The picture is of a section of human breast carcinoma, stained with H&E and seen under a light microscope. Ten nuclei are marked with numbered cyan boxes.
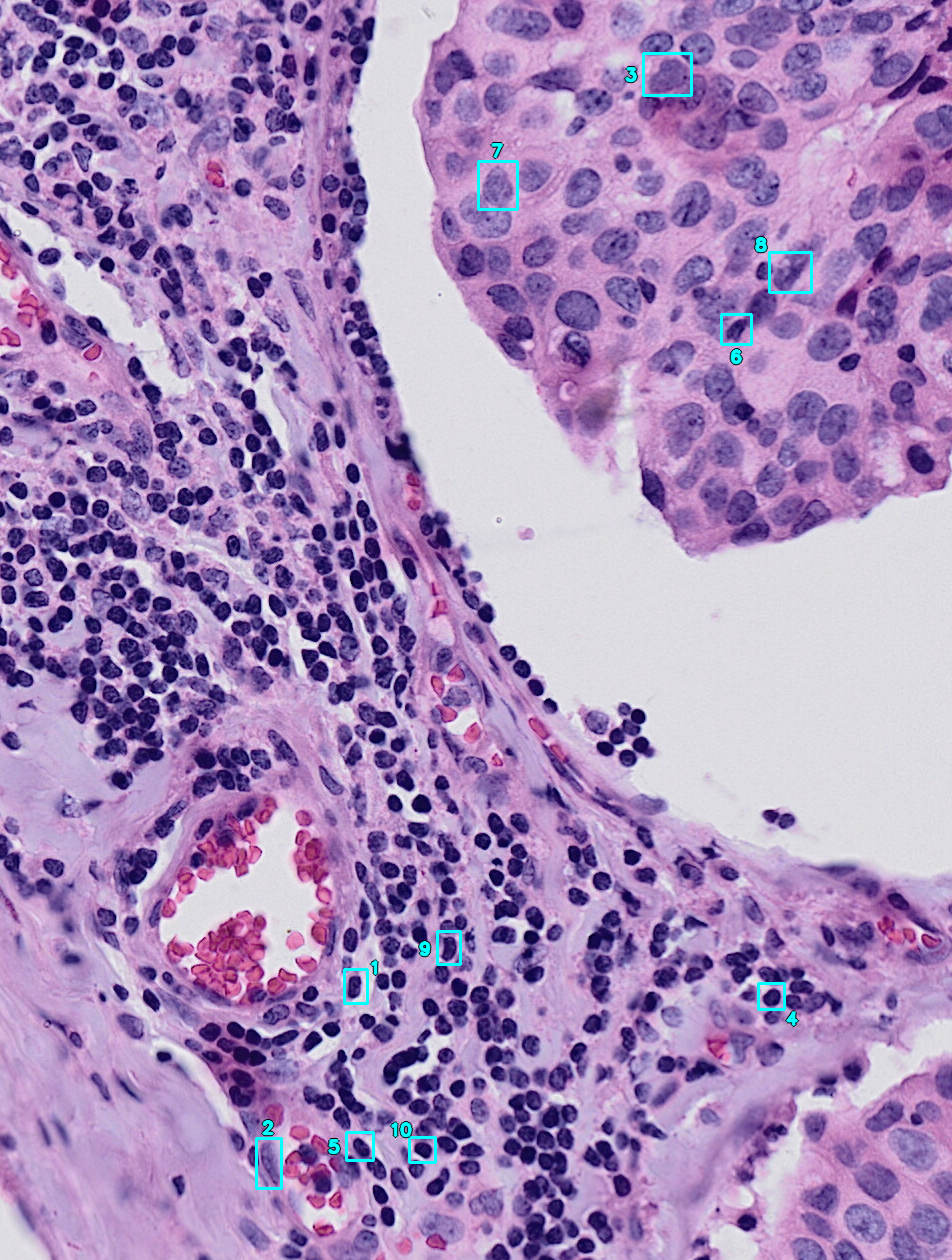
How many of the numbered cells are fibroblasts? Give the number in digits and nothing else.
0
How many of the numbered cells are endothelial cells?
1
